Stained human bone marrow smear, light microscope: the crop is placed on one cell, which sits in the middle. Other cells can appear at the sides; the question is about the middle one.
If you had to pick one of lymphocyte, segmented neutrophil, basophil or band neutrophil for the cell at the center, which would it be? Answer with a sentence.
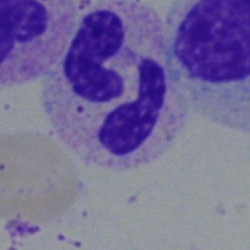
The middle cell in this particular crop is a segmented neutrophil.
